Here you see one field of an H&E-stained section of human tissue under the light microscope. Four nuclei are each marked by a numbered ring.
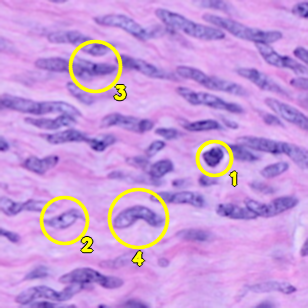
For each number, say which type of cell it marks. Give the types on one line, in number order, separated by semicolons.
lymphocyte; smooth muscle cell; smooth muscle cell; smooth muscle cell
